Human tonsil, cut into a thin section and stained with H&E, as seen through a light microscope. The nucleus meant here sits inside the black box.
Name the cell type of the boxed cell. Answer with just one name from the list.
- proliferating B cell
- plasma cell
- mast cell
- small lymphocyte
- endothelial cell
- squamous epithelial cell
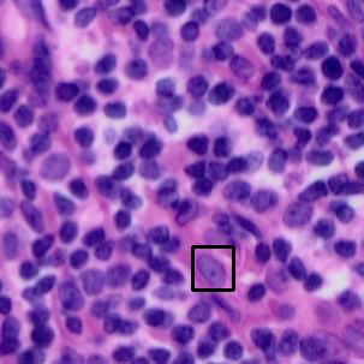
endothelial cell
